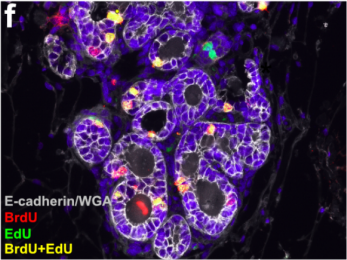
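The lining cells have grey outlines and blue nuclei, and some units are dilated with a thin wall. Scattered nuclei within the epithelium are labeled red, green or yellow, with a few labeled cells also in the stroma.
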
